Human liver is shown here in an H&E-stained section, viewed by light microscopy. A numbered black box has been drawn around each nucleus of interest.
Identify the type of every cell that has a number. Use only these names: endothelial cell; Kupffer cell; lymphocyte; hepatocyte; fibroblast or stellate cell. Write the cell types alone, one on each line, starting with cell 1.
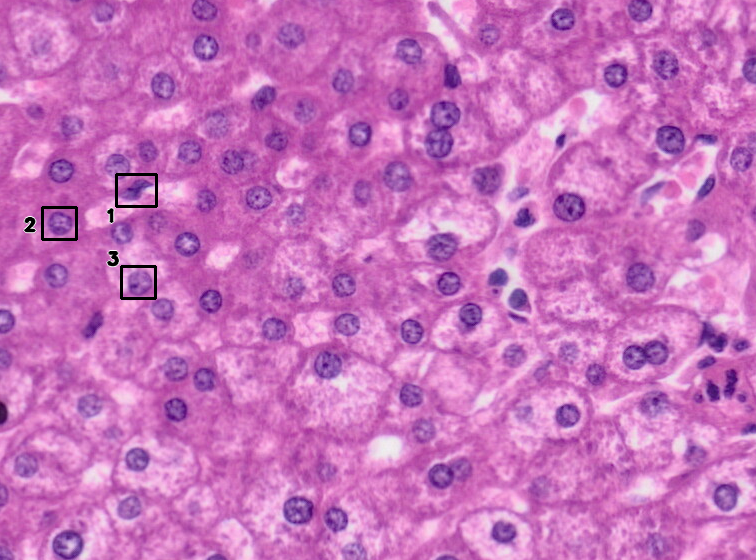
endothelial cell
hepatocyte
hepatocyte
